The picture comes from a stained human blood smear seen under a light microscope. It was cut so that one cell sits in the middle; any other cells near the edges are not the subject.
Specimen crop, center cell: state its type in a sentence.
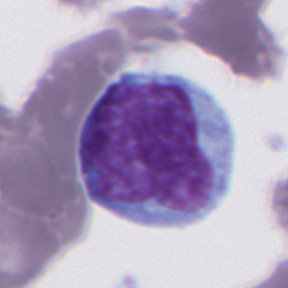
The central element of this crop is a cell, namely a monocyte.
